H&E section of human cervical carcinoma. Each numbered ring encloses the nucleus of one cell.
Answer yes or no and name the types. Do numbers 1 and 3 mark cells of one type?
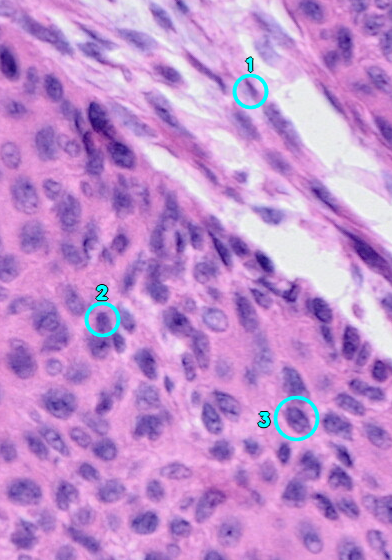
No, cell 1 is a fibroblast and cell 3 is a squamous carcinoma cell.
